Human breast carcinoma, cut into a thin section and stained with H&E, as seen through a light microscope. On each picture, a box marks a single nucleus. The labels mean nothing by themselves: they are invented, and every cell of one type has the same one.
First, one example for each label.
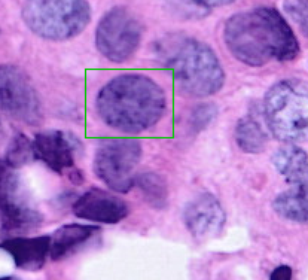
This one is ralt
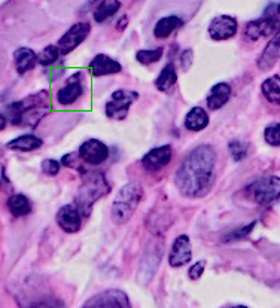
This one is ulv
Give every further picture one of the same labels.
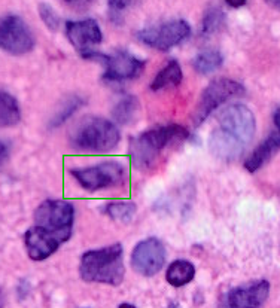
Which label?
ralt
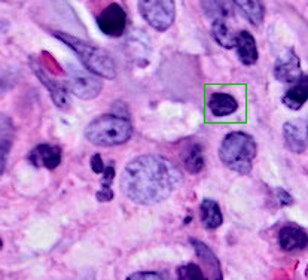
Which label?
ulv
